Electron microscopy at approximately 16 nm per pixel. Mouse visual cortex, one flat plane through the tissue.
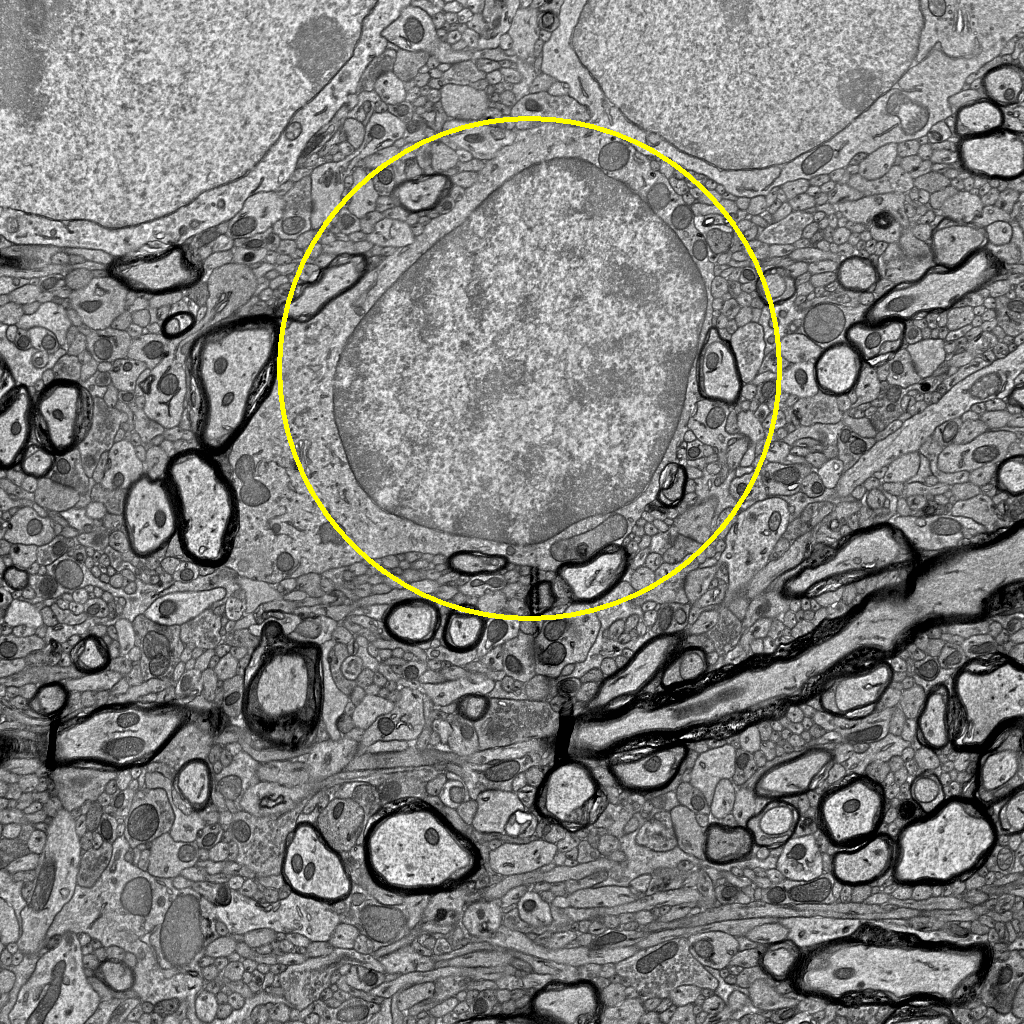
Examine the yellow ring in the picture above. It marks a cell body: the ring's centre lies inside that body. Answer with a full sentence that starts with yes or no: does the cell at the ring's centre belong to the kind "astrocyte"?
No, the cell whose body contains the ring's centre in the image is a different kind of cell.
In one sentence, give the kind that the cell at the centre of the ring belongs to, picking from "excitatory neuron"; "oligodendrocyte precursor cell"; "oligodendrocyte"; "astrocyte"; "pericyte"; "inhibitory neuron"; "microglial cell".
As it turns out, the cell at the ring centre is an oligodendrocyte.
